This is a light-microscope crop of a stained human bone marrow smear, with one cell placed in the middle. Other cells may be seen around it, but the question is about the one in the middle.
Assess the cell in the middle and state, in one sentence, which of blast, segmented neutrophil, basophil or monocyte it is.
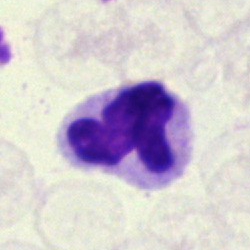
For this crop, the cell in the middle is a segmented neutrophil.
